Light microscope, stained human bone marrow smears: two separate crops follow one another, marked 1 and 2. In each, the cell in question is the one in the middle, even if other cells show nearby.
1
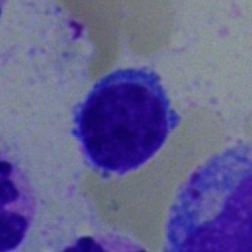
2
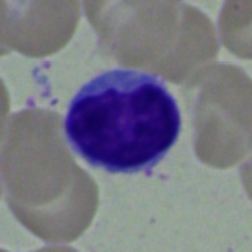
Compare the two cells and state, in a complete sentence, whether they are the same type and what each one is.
Yes, lymphocytes are the cells in the middle of both crops.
